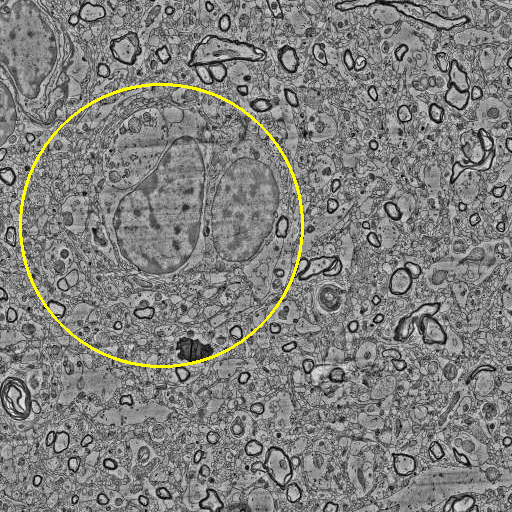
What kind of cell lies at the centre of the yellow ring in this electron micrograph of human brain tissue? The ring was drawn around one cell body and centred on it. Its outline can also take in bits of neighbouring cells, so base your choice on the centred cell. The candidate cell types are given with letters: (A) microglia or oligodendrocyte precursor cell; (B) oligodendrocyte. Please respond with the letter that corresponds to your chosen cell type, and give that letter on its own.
A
